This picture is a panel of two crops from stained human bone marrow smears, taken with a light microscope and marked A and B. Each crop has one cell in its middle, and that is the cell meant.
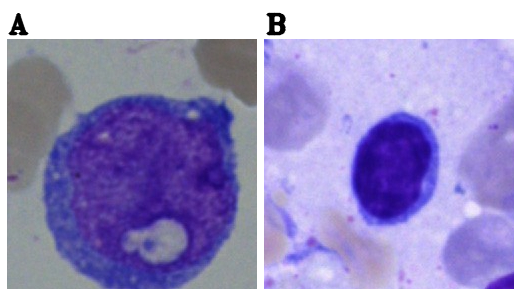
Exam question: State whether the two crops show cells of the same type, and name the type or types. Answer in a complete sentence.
No, crop A should be called a blast, and crop B should be called a lymphocyte.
